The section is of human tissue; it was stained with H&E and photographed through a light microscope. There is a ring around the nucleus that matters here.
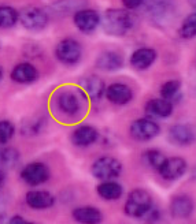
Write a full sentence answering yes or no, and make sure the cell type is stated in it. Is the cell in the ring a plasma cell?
Yes, no change needed: the cell in the ring is a plasma cell.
